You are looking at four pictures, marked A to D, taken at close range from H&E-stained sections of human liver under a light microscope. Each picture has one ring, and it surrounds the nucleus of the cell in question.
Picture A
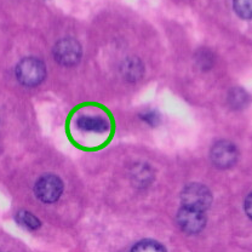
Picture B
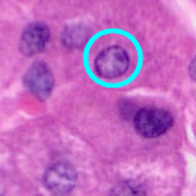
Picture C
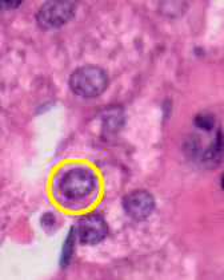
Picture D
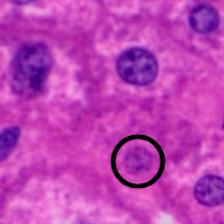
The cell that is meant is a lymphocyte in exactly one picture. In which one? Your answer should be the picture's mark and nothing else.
A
